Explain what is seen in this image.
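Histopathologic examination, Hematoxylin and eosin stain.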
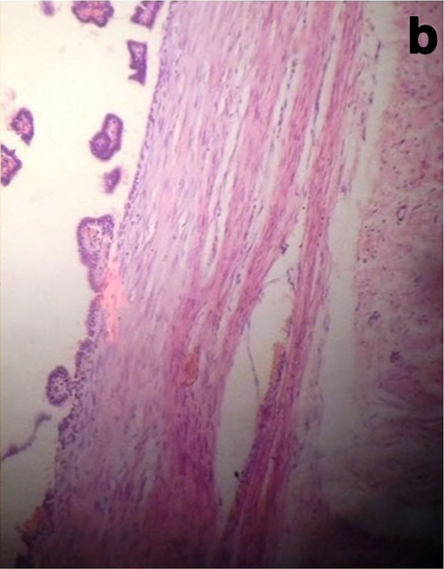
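A cyst wall of pink, wavy fibrous tissue with scattered spindle-shaped nuclei is lined on its luminal side by a single thin layer of flat to low cuboidal epithelial cells with dark purple nuclei. Small rounded tufts and papillary fragments of the same epithelium lie detached in the clear space beside the wall.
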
